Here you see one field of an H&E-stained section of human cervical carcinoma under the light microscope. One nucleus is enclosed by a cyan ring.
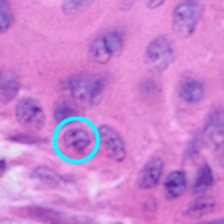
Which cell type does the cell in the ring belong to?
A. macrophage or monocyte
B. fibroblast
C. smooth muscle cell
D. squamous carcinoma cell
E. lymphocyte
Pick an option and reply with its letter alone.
D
